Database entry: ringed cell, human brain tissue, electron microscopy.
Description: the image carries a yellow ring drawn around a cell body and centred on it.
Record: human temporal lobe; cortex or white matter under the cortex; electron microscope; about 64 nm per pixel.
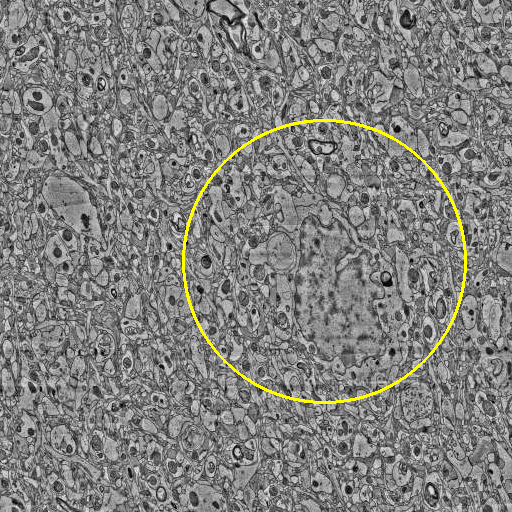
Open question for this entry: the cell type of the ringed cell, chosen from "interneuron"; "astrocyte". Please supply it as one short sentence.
The ringed cell is an interneuron.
